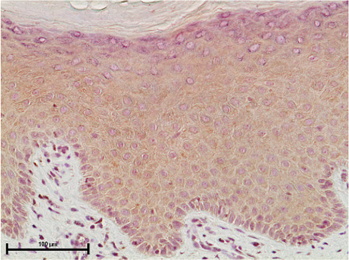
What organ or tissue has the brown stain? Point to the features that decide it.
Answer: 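The underlying connective tissue stays pale.
Answer: epidermis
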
